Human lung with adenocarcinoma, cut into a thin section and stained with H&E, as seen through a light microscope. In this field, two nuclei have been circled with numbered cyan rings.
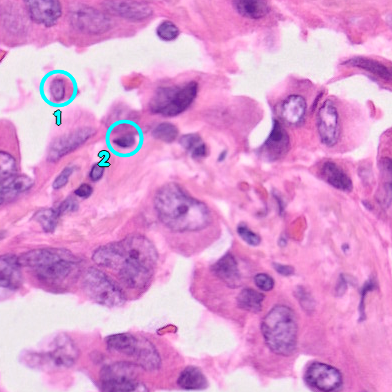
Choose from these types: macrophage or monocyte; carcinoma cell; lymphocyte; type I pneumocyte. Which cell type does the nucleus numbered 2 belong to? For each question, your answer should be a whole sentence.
The cell that carries the label 2 is a lymphocyte.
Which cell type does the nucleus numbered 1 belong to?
Cell 1 is classified as a macrophage or monocyte.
